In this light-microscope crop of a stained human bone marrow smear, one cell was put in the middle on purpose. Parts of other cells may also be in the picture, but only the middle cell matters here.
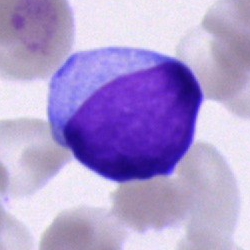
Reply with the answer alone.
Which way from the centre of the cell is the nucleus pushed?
lower right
